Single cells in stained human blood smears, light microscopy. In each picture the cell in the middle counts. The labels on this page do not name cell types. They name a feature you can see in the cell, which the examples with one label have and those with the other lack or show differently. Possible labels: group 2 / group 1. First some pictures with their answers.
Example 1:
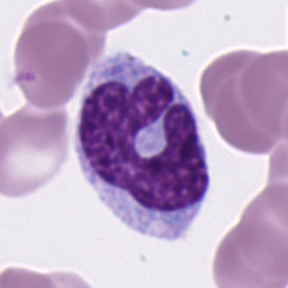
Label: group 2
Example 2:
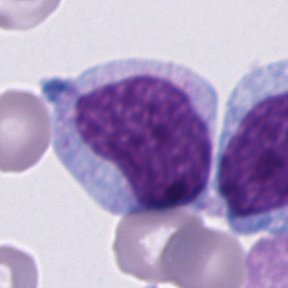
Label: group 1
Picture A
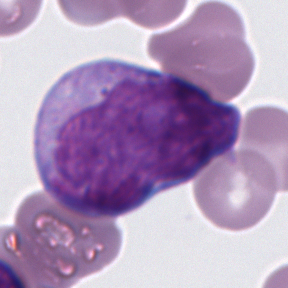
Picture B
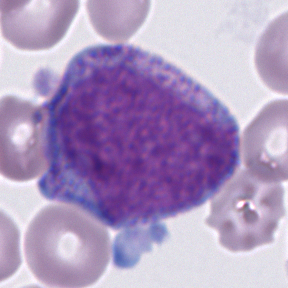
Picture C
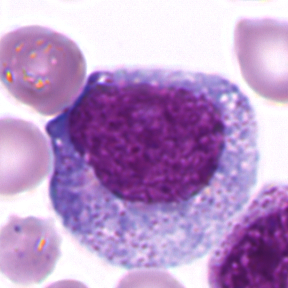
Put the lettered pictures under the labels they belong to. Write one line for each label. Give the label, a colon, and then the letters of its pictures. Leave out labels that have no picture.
group 2: C
group 1: A, B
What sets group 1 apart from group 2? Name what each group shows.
Seen in group 1: no visible granules; seen in group 2: many visible granules.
